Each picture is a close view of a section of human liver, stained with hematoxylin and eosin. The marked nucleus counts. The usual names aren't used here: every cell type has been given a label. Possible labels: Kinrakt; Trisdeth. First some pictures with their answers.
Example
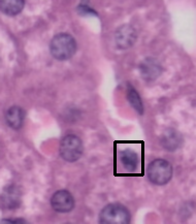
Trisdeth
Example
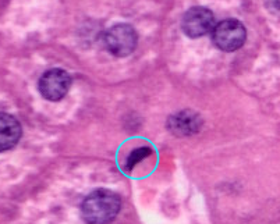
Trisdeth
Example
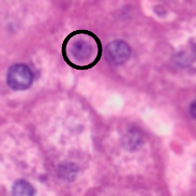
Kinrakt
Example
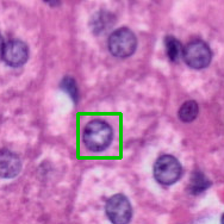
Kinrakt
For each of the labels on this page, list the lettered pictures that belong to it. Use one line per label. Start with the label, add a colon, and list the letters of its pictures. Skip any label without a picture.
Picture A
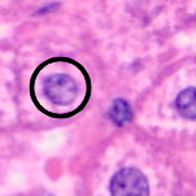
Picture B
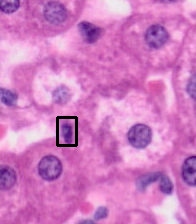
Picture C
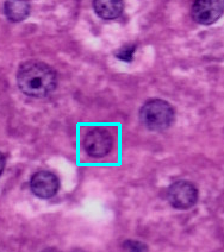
Kinrakt: A, C
Trisdeth: B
